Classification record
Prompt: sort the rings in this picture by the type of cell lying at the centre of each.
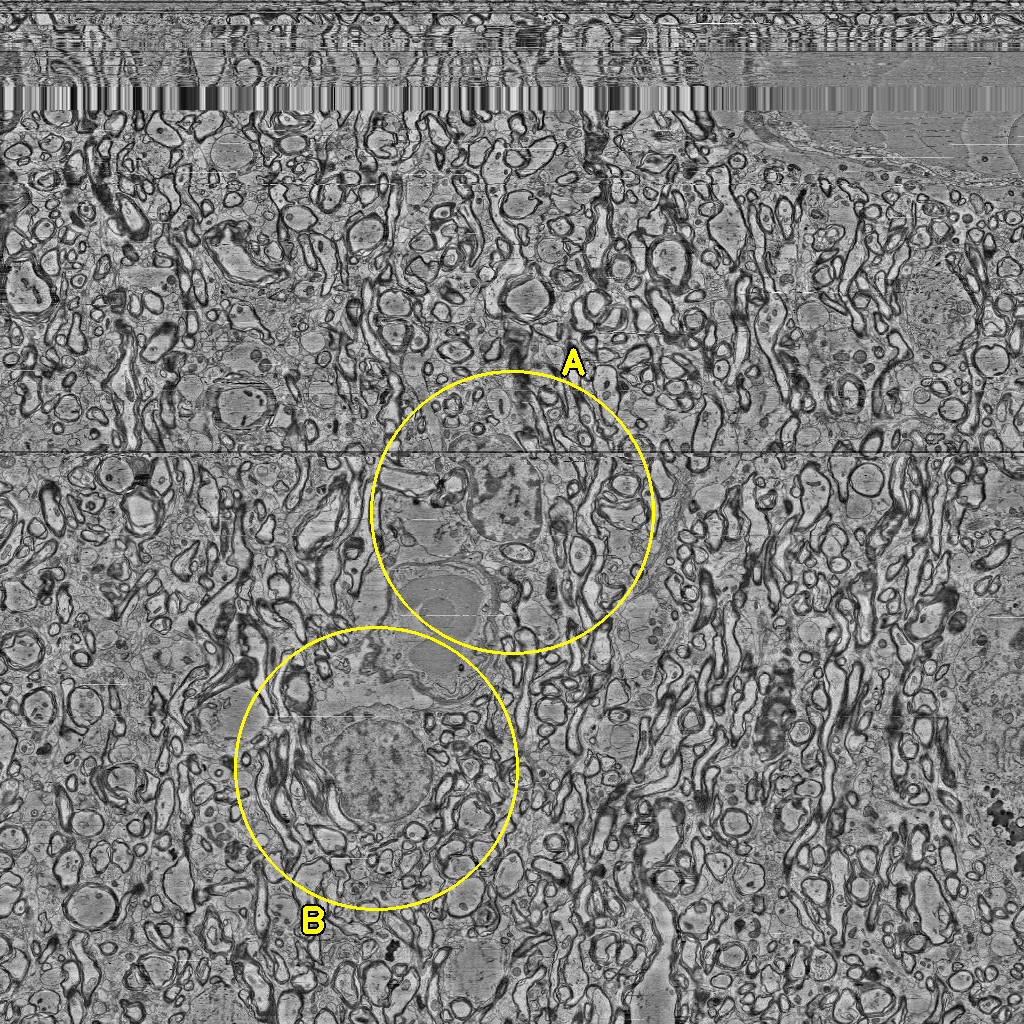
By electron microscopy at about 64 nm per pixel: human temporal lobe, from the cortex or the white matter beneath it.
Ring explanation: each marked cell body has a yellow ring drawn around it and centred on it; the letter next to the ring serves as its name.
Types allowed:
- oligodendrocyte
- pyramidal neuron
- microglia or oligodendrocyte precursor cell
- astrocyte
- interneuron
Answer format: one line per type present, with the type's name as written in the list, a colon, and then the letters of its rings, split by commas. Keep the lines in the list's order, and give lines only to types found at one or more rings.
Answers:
oligodendrocyte: B
microglia or oligodendrocyte precursor cell: A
